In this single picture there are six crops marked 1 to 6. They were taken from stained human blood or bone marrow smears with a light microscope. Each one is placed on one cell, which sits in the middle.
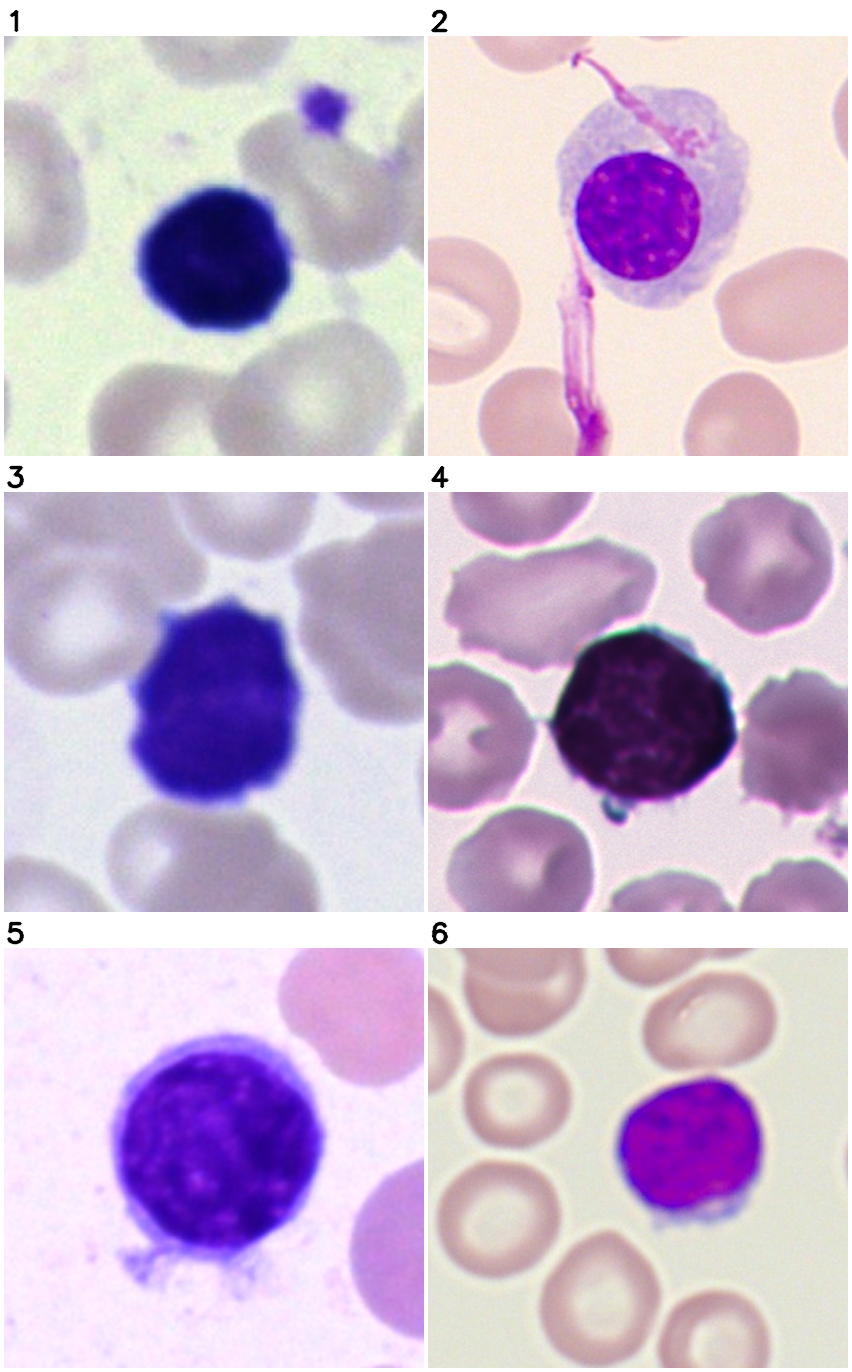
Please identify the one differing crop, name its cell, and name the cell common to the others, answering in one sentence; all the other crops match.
Crop 2 is not like the others: it is an erythroblast, and they are lymphocytes.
